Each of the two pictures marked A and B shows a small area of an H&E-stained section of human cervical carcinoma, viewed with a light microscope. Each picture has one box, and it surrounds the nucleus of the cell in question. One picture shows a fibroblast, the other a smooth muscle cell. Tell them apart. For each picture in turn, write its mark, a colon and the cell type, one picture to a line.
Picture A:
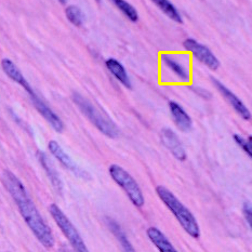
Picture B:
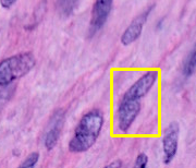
A: fibroblast
B: smooth muscle cell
